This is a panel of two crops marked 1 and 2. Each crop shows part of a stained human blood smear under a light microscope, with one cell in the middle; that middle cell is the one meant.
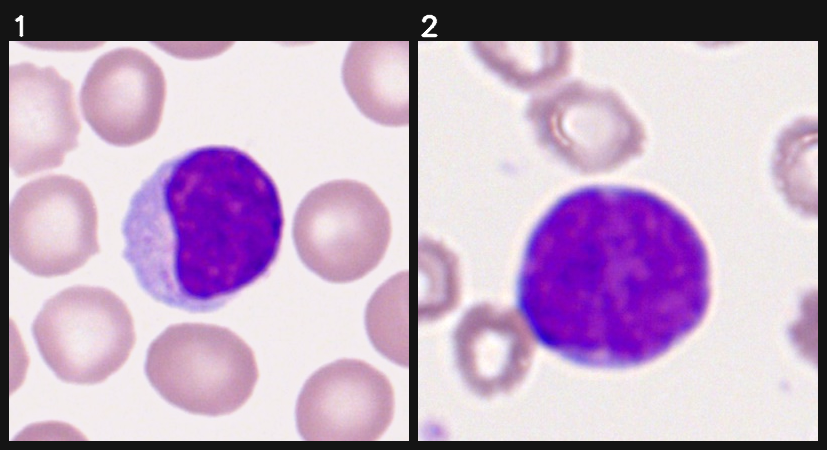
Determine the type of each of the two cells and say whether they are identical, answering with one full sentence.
No, in crop 2 the central cell is a myeloblast, and in crop 1 it is a lymphocyte.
